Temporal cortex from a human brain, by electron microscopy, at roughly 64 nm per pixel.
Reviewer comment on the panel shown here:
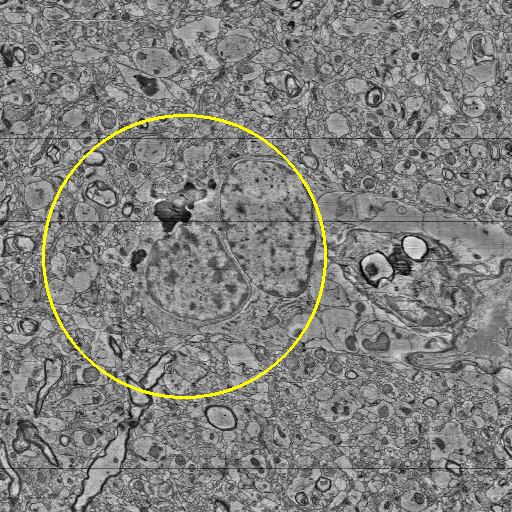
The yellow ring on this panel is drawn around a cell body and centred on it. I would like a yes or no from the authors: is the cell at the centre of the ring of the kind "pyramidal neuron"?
no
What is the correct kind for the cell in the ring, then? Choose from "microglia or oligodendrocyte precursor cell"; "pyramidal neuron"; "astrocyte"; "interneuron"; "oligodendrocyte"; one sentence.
Instead, what sits at the centre of the ring is an oligodendrocyte.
